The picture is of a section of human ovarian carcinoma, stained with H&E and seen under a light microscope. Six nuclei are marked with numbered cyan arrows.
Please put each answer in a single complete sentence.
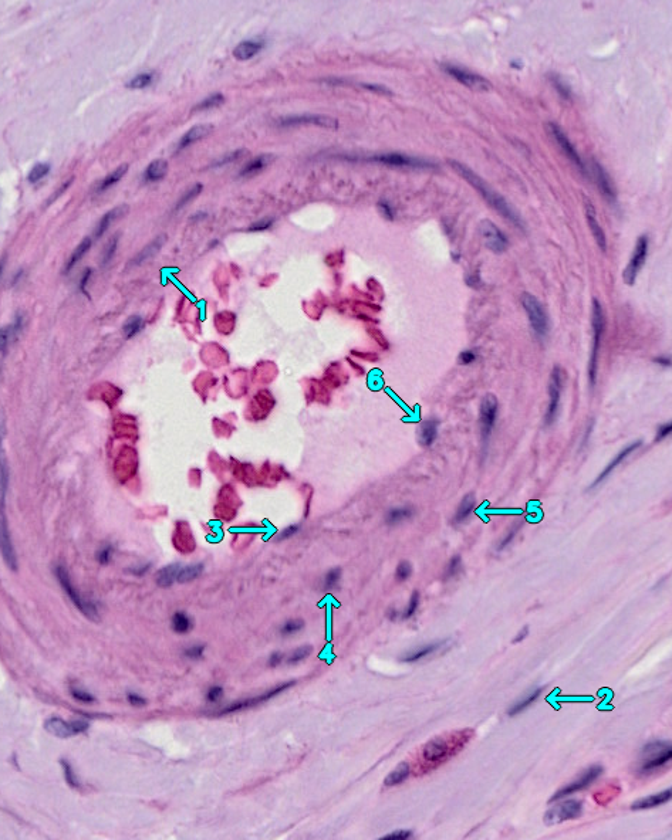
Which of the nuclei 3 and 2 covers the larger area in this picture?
Number 2 is larger; its area is about 2 times that of number 3.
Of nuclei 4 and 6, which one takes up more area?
The larger nucleus is 6, at roughly 1.5 times the area of 4.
